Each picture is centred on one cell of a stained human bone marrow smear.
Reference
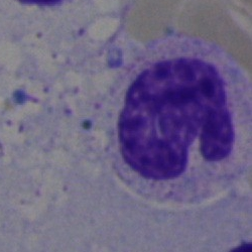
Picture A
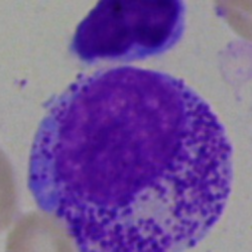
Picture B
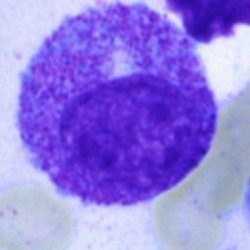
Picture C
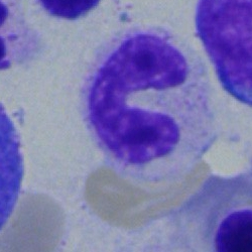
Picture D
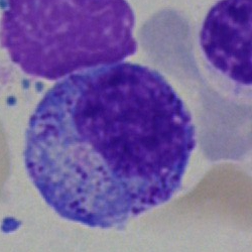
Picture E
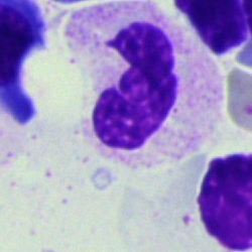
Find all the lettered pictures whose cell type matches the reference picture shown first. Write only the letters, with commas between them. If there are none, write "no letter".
C, E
